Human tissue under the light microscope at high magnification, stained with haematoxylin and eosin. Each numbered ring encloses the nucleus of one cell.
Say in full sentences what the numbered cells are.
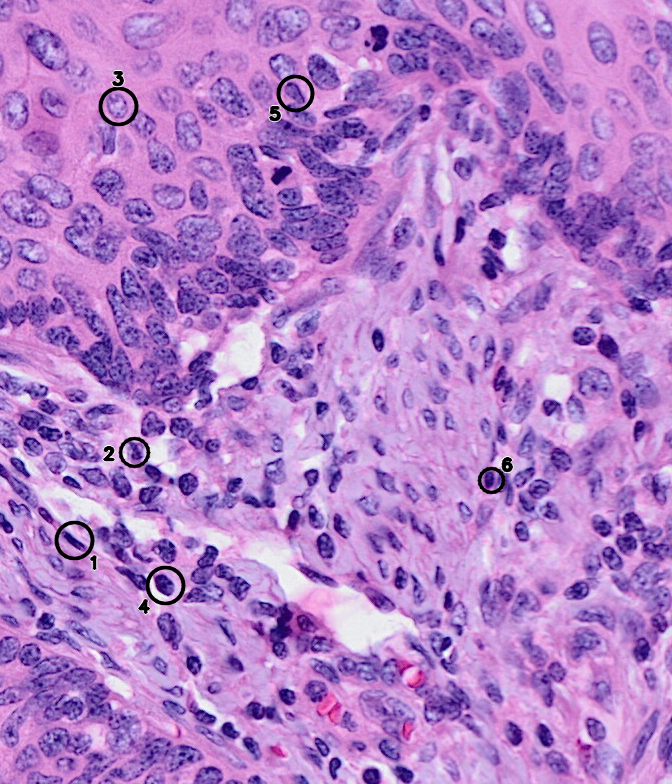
Cell 1 is a lymphocyte, cell 2 is a lymphocyte, cell 3 is a squamous carcinoma cell, cell 4 is a lymphocyte, cell 5 is a squamous carcinoma cell and cell 6 is a lymphocyte.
